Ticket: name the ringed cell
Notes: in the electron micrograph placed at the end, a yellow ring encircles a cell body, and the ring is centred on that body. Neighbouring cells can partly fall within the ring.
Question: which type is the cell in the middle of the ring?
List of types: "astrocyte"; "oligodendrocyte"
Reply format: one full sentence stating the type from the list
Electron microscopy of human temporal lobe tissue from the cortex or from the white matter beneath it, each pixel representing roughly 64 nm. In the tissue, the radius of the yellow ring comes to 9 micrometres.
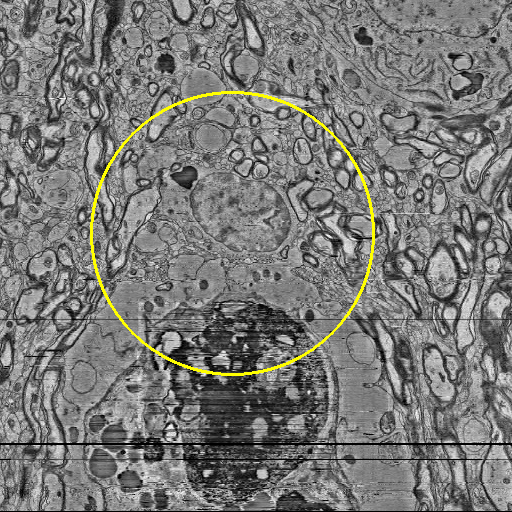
The cell sitting at the centre of the yellow ring is an oligodendrocyte.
